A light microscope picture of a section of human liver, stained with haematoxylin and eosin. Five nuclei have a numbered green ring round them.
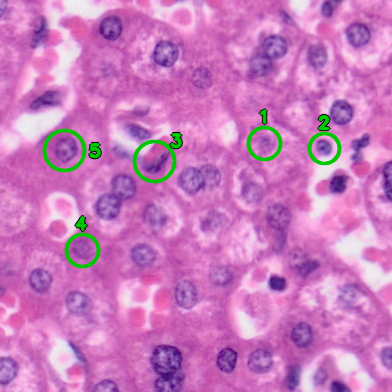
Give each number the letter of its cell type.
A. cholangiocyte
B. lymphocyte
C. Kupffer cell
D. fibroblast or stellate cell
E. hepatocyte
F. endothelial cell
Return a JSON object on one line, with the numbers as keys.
{"1": "E", "2": "B", "3": "D", "4": "E", "5": "E"}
